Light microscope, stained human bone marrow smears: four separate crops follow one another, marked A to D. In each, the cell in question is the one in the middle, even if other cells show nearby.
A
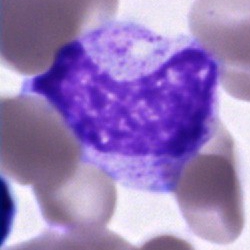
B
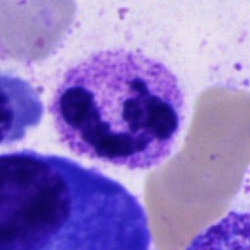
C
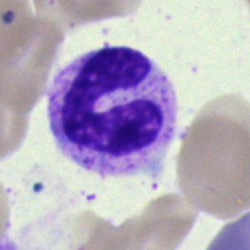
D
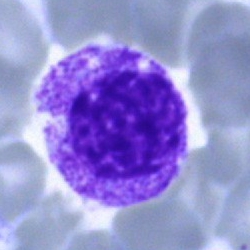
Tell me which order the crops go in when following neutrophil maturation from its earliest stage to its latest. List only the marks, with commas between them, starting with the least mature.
D, A, C, B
